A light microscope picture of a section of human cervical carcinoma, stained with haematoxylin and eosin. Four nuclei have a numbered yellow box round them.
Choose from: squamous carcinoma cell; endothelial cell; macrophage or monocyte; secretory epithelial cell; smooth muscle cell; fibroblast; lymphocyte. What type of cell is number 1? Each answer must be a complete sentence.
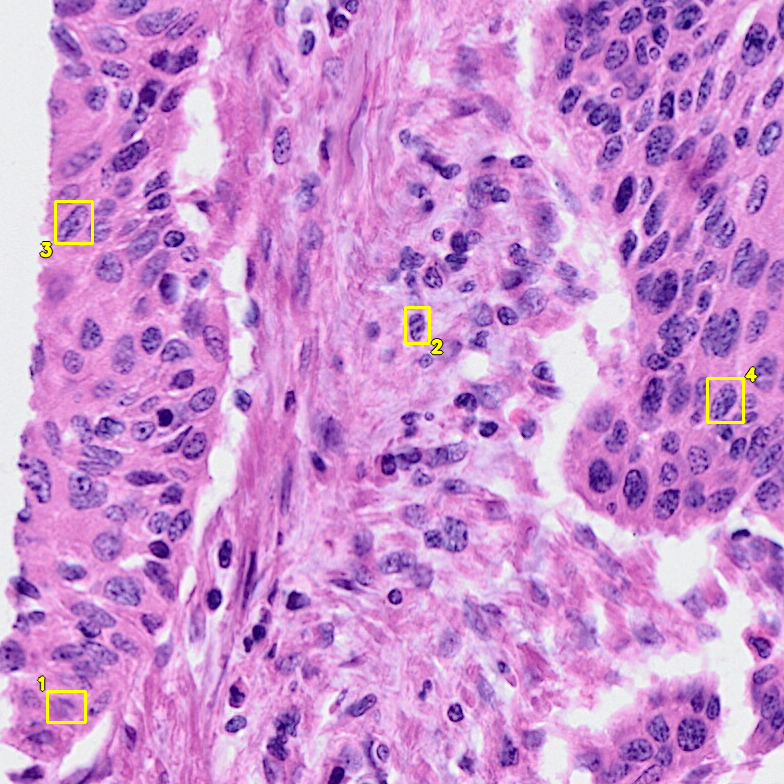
Of the numbered cells, the one labelled 1 is a squamous carcinoma cell.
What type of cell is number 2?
The cell marked with number 2 is a lymphocyte.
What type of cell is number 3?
Cell 3 should be recorded as a squamous carcinoma cell.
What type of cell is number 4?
Among the marked nuclei, number 4 belongs to a squamous carcinoma cell.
